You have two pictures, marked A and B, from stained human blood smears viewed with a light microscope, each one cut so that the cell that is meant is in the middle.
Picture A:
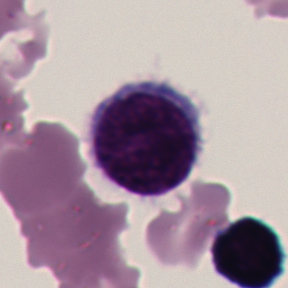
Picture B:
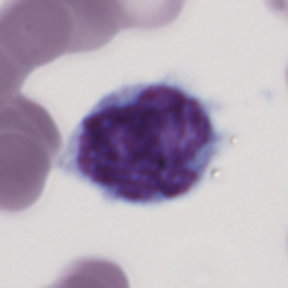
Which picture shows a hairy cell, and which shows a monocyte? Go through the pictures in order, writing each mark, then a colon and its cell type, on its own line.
A: hairy cell
B: monocyte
